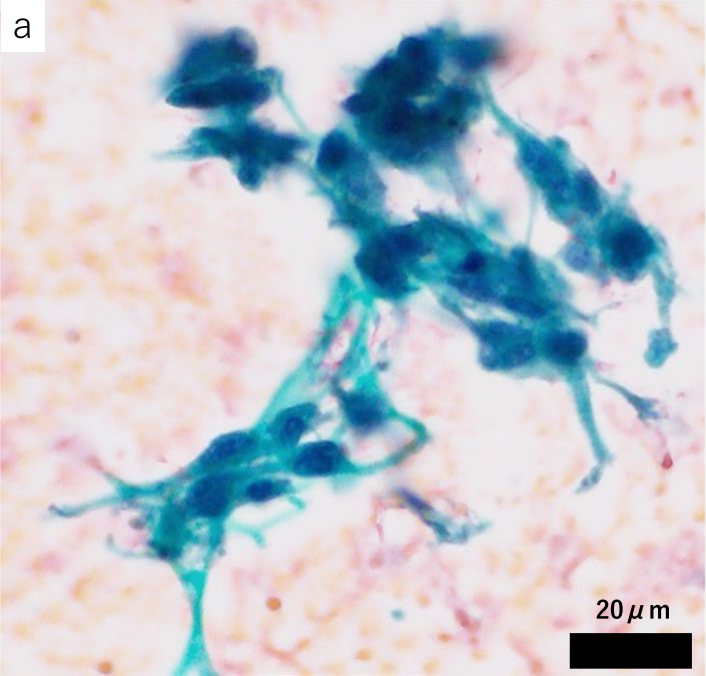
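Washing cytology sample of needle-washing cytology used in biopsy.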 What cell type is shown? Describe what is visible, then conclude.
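Elongated cells with blue-green cytoplasm drawn out into long tail-like processes. Dark, enlarged nuclei crowded in loose, irregular clusters. Cells are only loosely held together, with strands trailing between groups.
Answer: Spindle-shaped and loosely connective atypical cells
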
